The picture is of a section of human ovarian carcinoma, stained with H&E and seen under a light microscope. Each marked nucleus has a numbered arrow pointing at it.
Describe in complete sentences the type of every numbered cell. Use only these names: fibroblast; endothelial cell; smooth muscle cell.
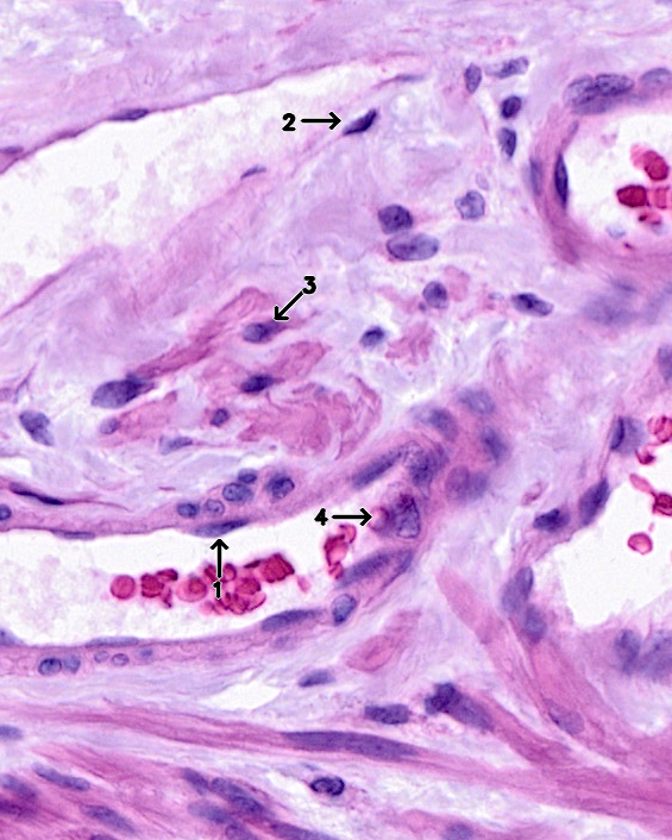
Cells 1 and 4 are endothelial cells. Cell 2 is a fibroblast. Cell 3 is a smooth muscle cell.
